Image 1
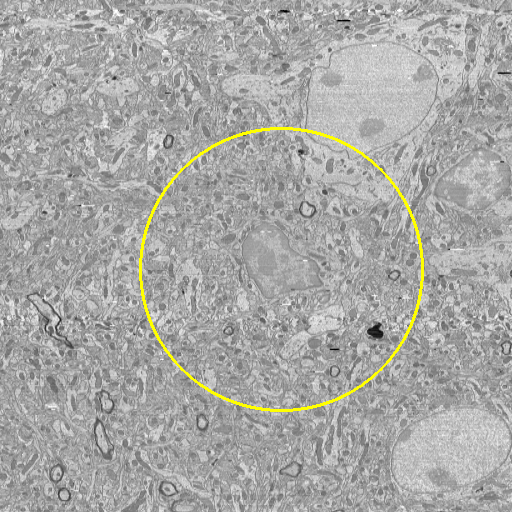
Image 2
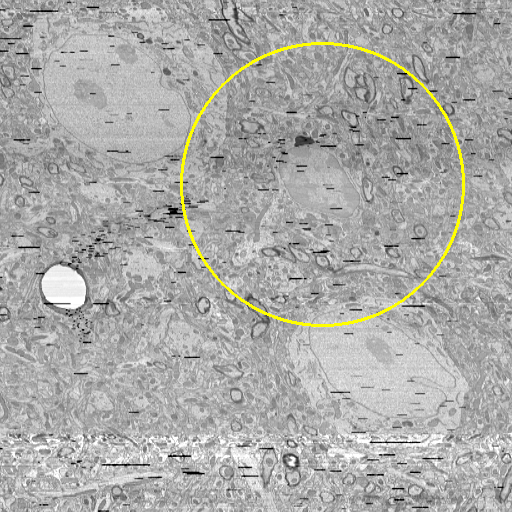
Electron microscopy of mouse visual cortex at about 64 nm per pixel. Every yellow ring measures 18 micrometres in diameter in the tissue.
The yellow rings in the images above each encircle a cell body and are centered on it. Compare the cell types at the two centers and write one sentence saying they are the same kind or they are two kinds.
Taken together, the two cells at the ring centers are the same kind.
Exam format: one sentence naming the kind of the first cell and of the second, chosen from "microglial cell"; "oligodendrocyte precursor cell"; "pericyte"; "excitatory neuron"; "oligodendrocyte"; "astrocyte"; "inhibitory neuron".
Both pictures show a microglial cell at the centre of the ring.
